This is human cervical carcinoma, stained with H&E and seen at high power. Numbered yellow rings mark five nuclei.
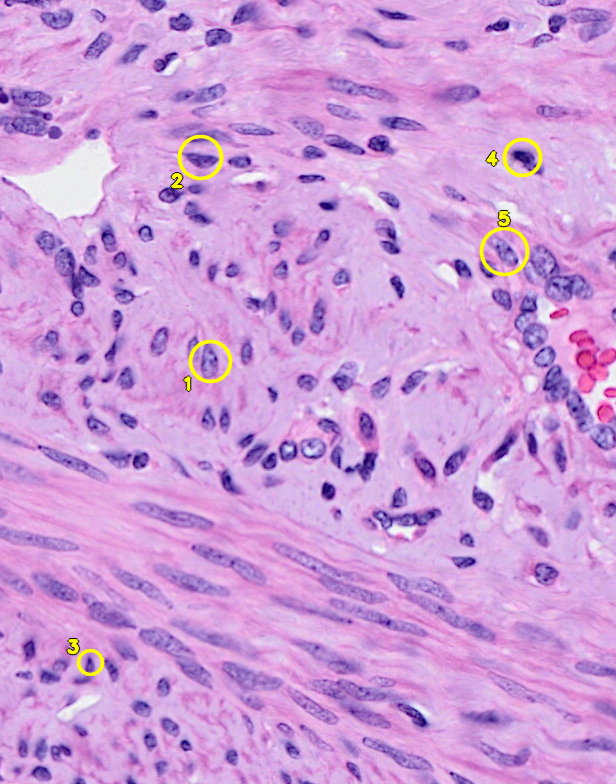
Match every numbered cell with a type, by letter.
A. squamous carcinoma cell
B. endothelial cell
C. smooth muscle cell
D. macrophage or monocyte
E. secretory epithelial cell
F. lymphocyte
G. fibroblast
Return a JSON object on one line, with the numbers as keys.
{"1": "C", "2": "G", "3": "C", "4": "F", "5": "B"}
